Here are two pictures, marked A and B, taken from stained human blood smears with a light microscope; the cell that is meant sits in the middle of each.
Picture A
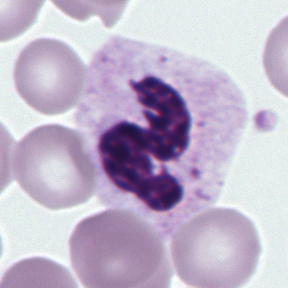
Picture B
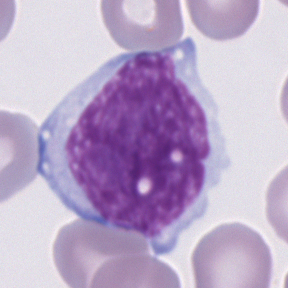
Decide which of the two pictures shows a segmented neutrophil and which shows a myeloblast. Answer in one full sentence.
The cell in picture A is a segmented neutrophil, and the one in picture B is a myeloblast.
